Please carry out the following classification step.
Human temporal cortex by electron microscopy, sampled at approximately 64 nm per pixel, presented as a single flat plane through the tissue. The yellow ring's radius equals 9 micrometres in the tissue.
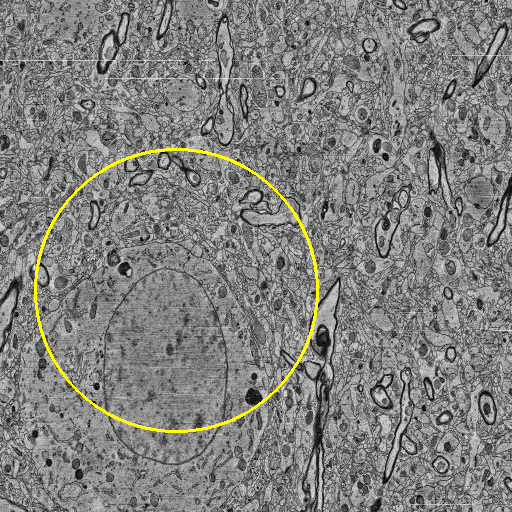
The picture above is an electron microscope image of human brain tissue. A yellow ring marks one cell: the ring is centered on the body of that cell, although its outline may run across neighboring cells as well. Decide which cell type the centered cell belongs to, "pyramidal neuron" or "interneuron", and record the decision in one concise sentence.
The cell centered in the yellow ring is a pyramidal neuron.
